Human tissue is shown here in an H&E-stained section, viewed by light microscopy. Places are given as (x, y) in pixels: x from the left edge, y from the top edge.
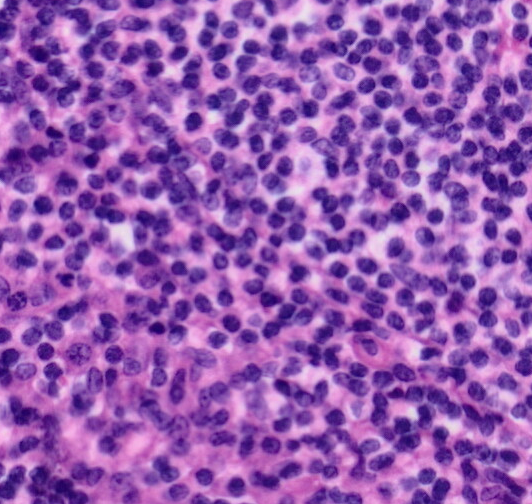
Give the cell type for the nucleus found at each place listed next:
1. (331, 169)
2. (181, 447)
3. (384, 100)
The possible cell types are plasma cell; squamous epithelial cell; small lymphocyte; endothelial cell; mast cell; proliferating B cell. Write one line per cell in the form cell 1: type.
cell 1: small lymphocyte
cell 2: plasma cell
cell 3: small lymphocyte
